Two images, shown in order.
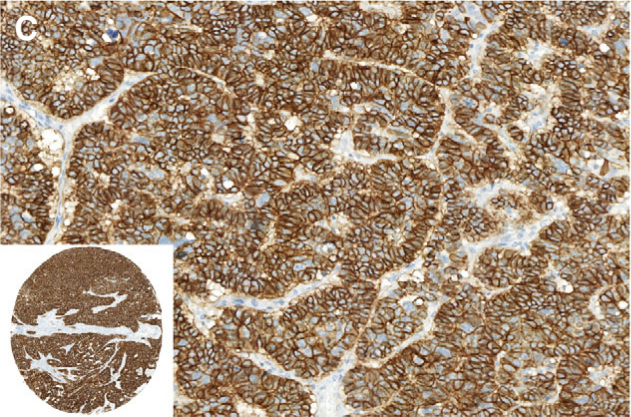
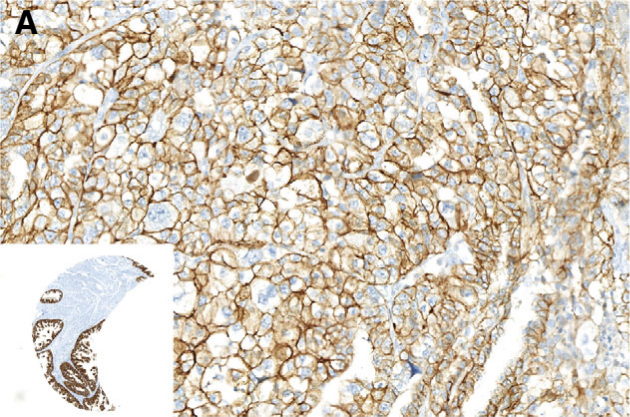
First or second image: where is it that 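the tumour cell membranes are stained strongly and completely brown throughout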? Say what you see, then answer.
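First image: nearly every tumour cell has a thick, dark brown ring around its whole outline. Second image: the brown outlines are thinner and paler, uneven in strength, with some cells only faintly outlined.
Hence: the first image.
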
